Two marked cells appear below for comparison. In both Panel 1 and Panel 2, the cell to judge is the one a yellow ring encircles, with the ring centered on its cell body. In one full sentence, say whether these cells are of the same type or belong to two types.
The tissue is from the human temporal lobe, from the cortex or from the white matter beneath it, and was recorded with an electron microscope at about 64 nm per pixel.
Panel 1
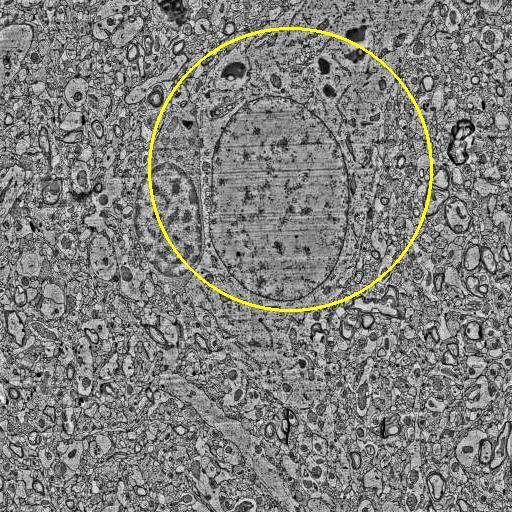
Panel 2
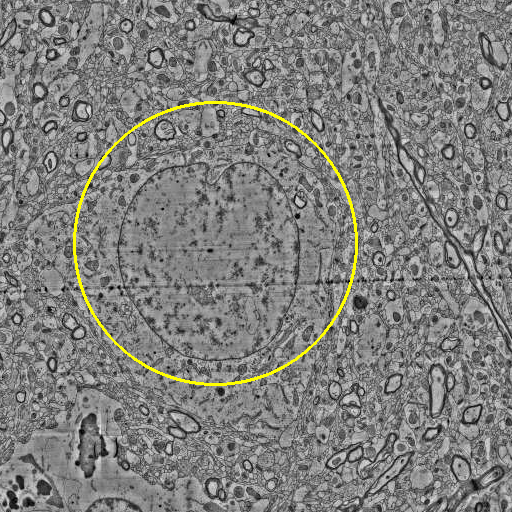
The cell centered in the Panel 1 ring and the one in Panel 2 are of the same type.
